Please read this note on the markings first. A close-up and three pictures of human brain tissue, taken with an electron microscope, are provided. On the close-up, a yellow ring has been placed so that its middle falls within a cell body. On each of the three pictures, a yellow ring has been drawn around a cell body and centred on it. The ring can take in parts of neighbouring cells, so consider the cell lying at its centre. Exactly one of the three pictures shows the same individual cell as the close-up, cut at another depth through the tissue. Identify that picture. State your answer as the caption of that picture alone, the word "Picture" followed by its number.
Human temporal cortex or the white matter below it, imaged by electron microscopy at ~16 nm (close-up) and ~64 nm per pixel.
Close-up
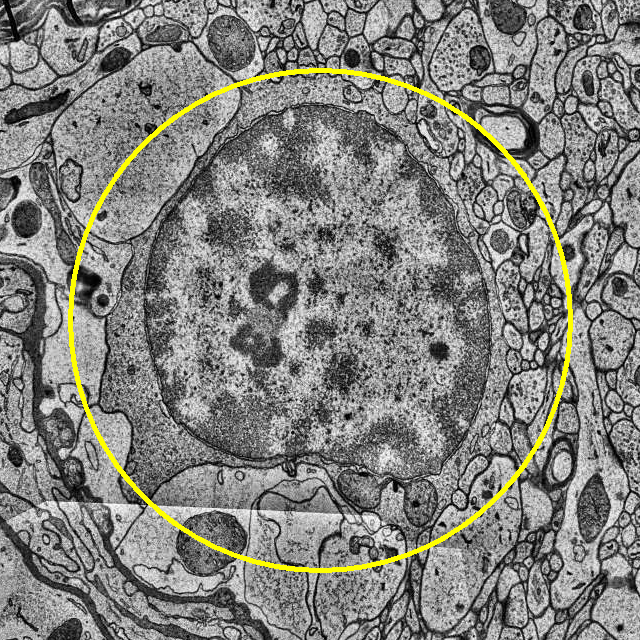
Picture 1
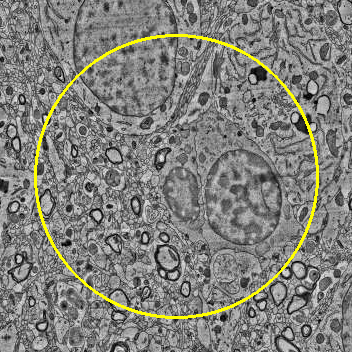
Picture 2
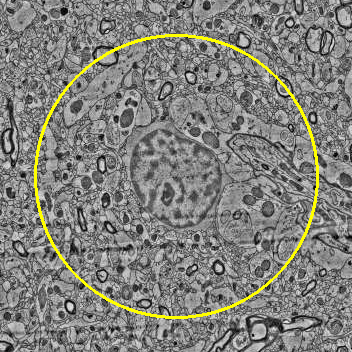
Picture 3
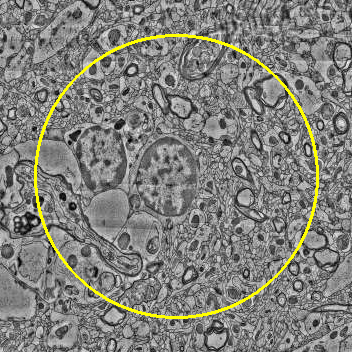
Picture 3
